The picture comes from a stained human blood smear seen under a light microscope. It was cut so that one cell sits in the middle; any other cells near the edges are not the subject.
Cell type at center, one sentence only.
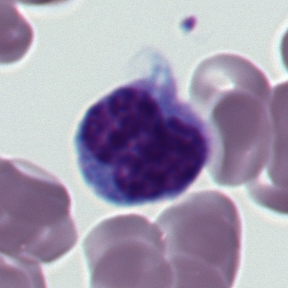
At the center of the crop sits a monocyte.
